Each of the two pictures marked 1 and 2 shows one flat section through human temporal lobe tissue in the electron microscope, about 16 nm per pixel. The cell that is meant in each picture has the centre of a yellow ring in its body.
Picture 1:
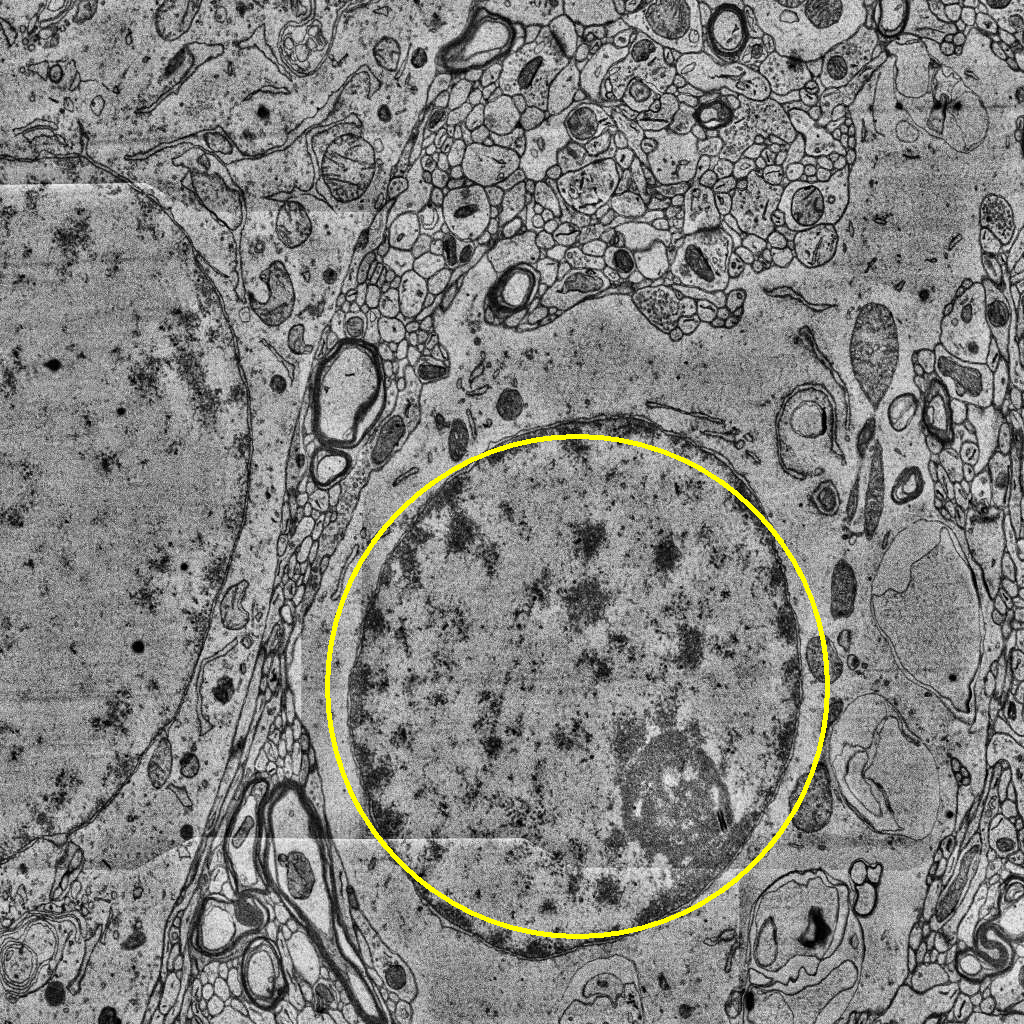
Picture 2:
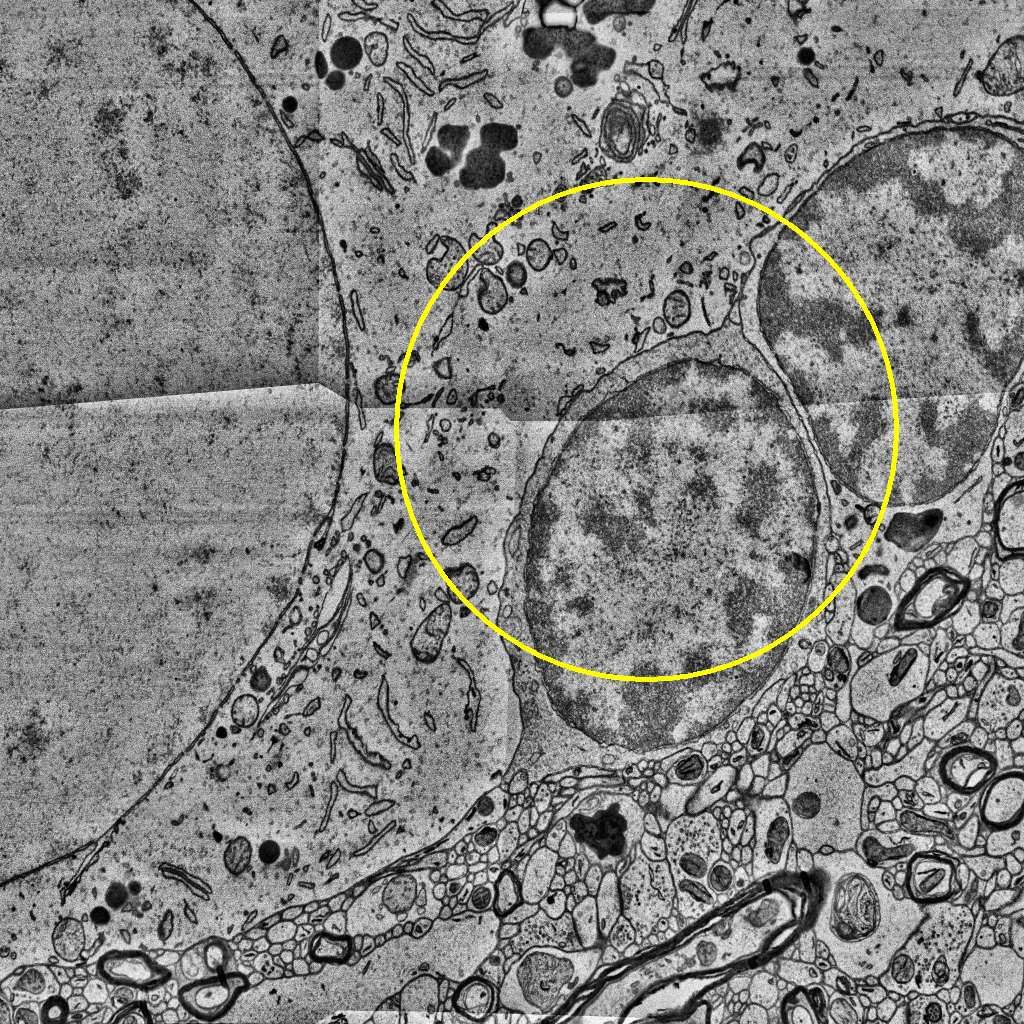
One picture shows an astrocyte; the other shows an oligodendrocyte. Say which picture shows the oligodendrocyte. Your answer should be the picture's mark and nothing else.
2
